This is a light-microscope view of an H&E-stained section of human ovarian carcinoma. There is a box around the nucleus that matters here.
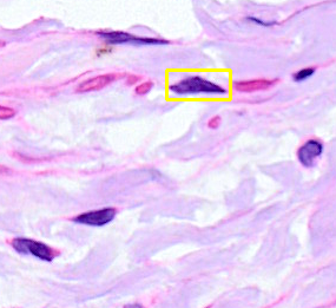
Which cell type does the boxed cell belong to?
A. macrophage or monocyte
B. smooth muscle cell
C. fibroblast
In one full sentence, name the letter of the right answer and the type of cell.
Right answer, option C: the boxed cell is a fibroblast.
